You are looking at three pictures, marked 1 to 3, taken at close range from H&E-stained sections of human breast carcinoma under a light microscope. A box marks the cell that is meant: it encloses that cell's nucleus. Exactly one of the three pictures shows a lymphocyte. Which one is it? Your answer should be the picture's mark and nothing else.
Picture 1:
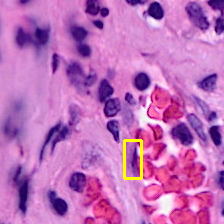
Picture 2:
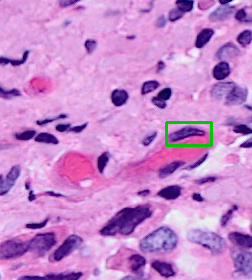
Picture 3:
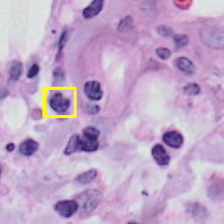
3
